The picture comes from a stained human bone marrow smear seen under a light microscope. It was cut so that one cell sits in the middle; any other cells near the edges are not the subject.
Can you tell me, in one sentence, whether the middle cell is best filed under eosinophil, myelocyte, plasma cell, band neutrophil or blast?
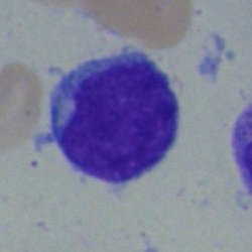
The centrally located cell in the crop is a blast.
